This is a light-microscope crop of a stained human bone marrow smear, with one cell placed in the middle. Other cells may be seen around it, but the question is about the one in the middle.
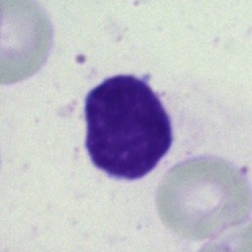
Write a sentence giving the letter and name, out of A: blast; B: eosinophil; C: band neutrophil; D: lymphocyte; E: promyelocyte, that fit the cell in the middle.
Option D is correct in that the central cell is a lymphocyte.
